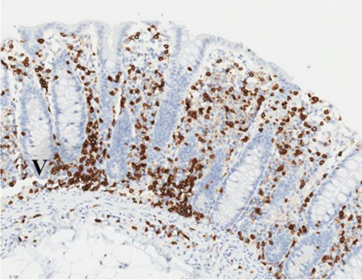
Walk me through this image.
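This is colonic mucosa with straight crypts full of pale goblet cells, seen along their length. Between the crypts, dense sheets of small brown-stained cells crowd the tissue, most heavily toward the crypt bases near the muscle layer. Brown cells also extend up between the crypts toward the surface. The crypt epithelium itself stays mostly blue, with goblet cells appearing as clear vacuoles. Below, a thin band of muscle and loose tissue lines the section.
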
